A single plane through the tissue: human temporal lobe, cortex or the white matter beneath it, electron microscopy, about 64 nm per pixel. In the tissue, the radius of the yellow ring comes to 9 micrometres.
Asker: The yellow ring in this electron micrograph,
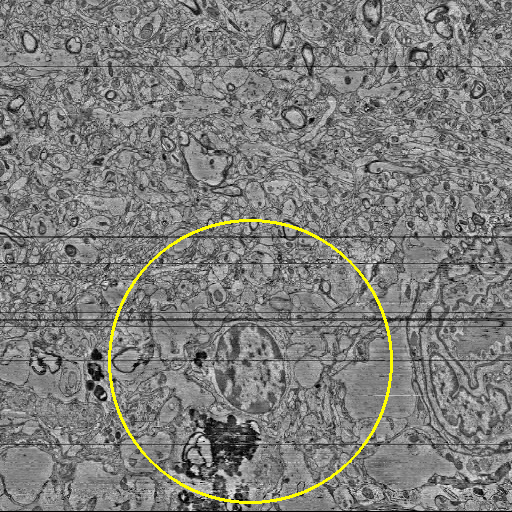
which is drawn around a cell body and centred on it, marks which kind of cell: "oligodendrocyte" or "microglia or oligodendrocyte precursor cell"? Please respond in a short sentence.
The marked cell is a microglial cell or oligodendrocyte precursor cell.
